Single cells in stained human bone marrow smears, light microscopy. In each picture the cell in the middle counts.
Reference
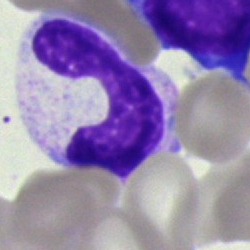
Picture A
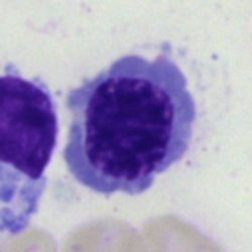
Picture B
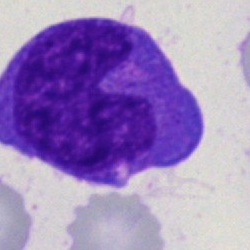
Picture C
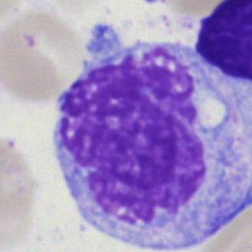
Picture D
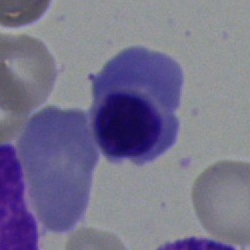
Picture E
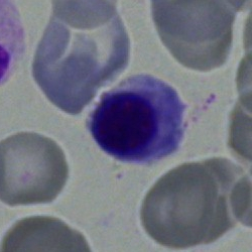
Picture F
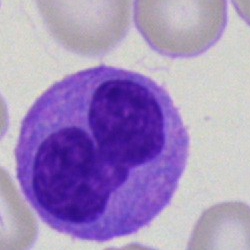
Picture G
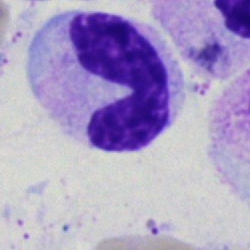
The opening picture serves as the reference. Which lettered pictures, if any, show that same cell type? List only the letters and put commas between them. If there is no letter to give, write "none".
G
